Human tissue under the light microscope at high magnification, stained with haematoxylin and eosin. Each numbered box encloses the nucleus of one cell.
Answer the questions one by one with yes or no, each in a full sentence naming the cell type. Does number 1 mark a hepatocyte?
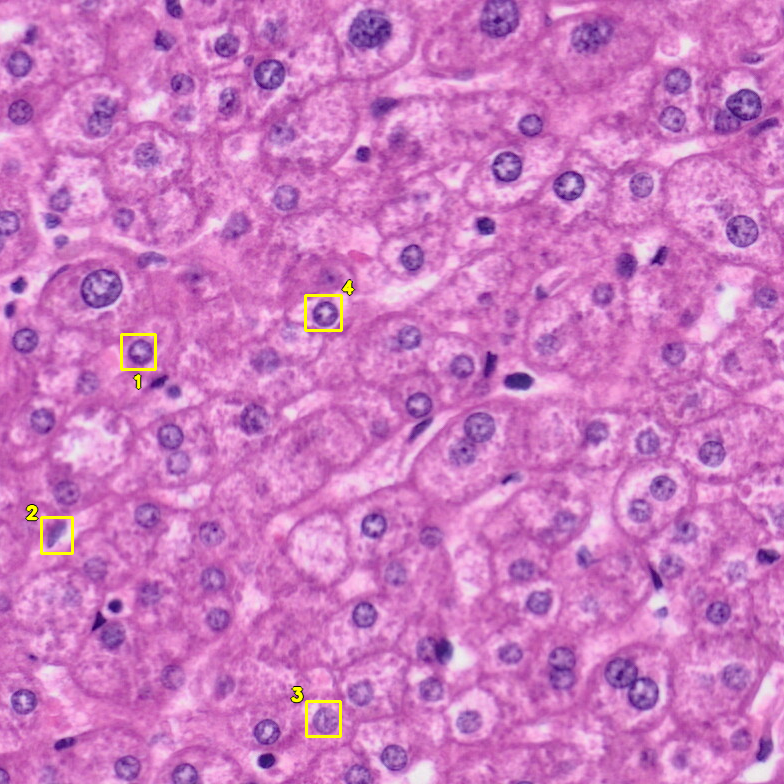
Yes, exactly, the cell numbered 1 is a hepatocyte.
